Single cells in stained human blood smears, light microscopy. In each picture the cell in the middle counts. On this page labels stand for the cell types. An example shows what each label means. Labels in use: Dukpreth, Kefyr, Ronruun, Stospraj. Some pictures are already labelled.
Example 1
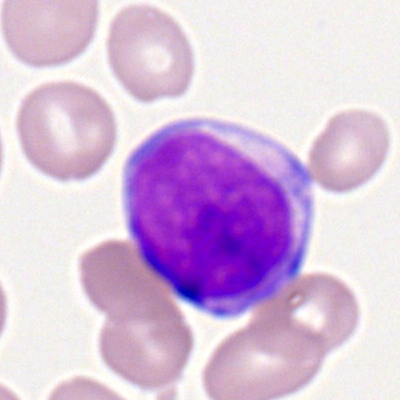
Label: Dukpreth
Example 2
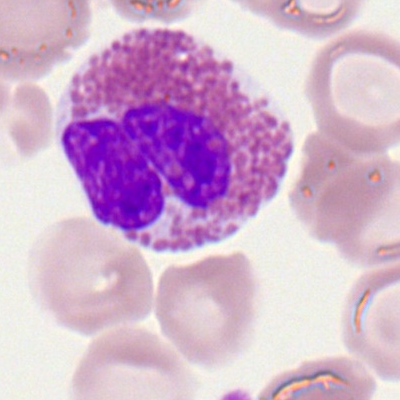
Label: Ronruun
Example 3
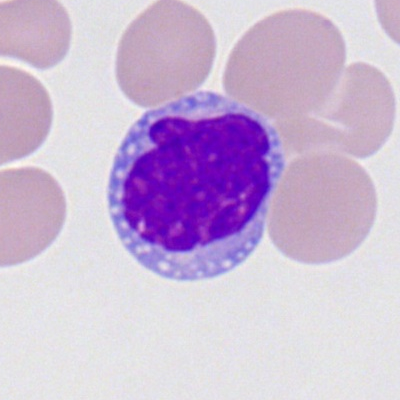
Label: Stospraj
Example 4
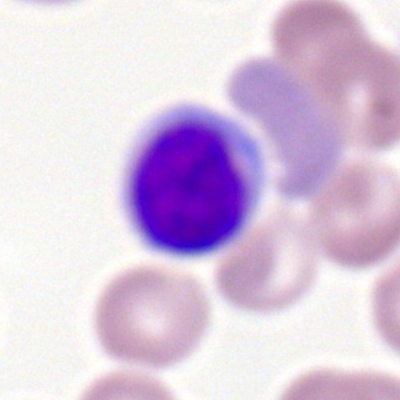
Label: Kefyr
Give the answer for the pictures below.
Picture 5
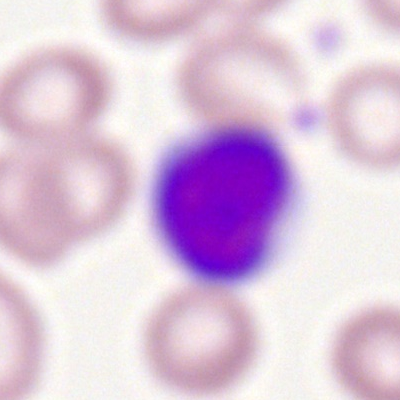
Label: Kefyr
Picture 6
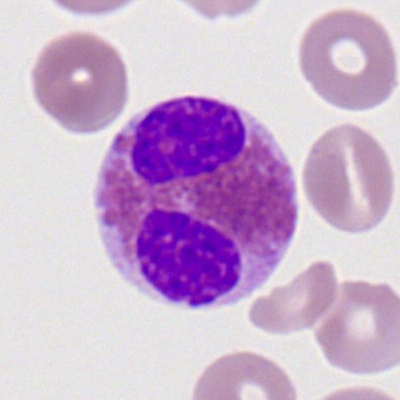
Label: Ronruun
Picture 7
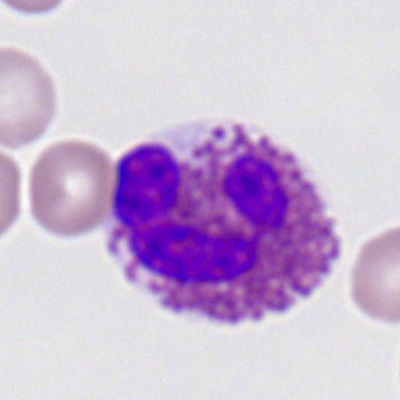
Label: Ronruun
